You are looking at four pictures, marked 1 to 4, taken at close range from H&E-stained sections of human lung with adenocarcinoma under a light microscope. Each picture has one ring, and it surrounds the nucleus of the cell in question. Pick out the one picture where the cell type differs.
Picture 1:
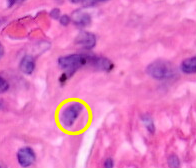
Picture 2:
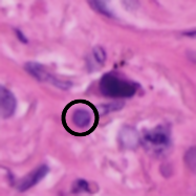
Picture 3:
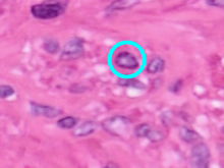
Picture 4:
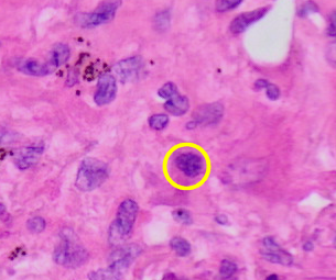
4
